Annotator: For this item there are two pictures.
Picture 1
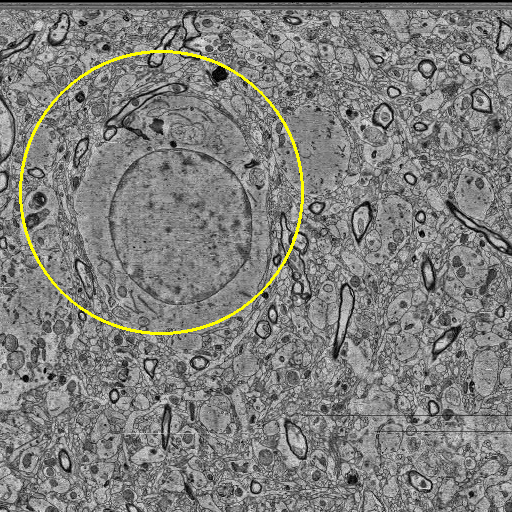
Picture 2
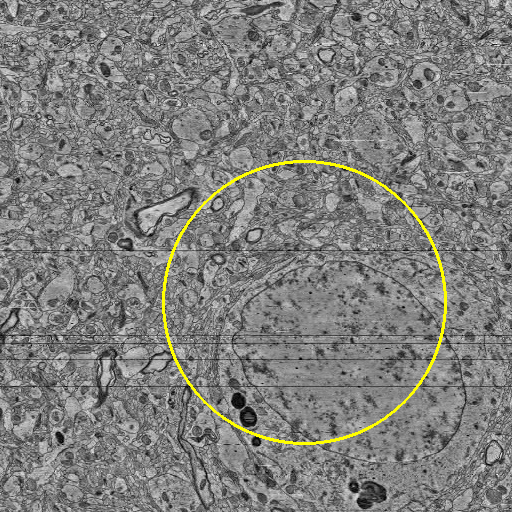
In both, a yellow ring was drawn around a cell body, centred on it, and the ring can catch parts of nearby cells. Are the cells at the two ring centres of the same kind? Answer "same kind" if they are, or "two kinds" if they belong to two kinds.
two kinds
